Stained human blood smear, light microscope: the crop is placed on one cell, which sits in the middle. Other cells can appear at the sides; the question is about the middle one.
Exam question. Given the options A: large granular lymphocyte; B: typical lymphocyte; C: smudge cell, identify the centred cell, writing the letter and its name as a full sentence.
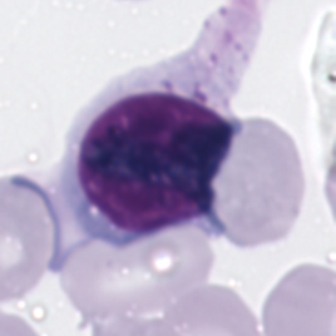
The cell in the middle is a large granular lymphocyte, and that makes option A correct.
